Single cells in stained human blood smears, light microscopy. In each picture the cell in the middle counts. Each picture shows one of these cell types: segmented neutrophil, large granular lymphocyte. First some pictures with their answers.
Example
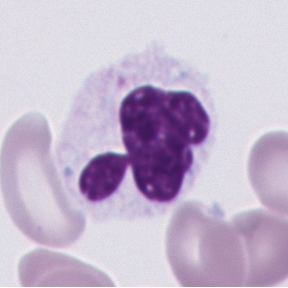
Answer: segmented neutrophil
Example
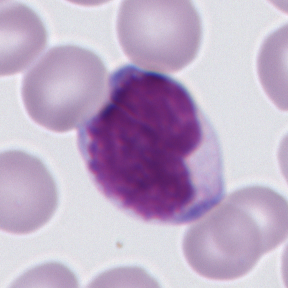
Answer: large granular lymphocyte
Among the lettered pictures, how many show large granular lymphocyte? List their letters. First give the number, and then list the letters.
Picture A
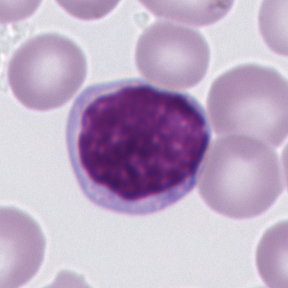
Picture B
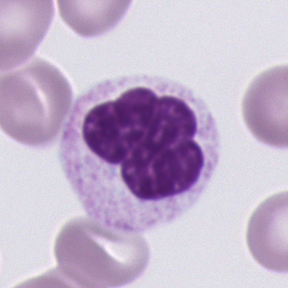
1: A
